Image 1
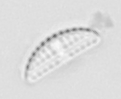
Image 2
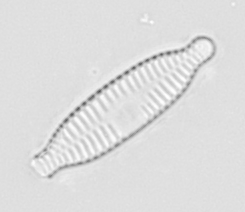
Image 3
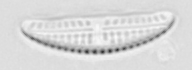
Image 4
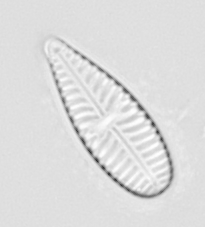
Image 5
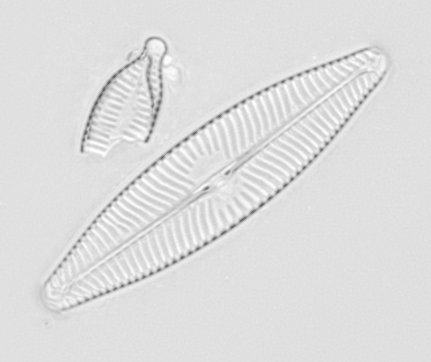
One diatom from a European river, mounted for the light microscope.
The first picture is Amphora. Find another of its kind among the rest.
Picture 3.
